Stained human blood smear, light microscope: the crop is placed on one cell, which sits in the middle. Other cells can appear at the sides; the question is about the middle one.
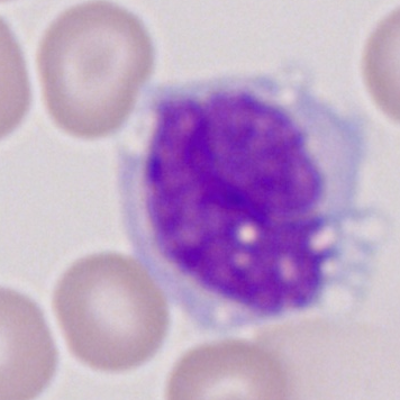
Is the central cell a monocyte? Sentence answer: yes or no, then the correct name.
Yes, the cell positioned in the middle is a monocyte.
